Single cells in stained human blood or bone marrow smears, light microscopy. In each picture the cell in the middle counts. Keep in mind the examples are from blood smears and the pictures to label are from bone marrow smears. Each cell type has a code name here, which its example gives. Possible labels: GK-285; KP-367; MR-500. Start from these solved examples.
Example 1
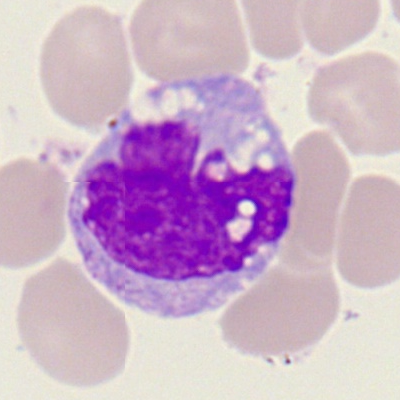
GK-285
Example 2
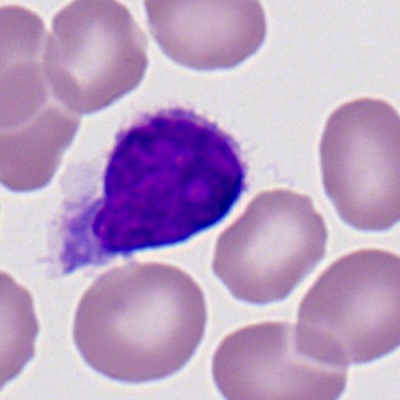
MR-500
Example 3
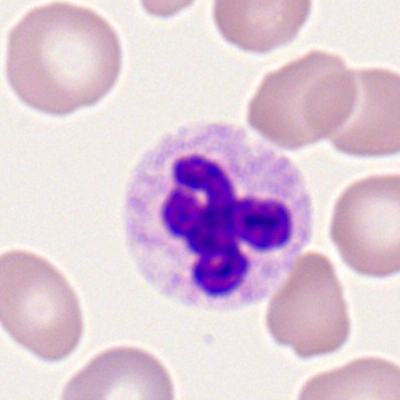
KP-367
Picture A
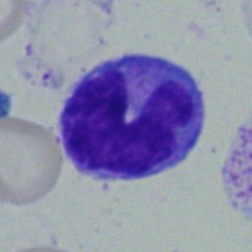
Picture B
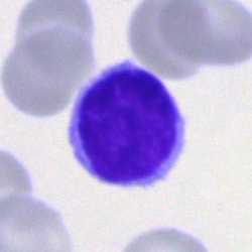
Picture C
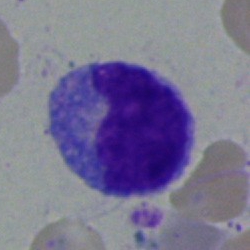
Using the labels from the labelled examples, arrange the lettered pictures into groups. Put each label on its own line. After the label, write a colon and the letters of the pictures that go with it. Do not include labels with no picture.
GK-285: A, C
MR-500: B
